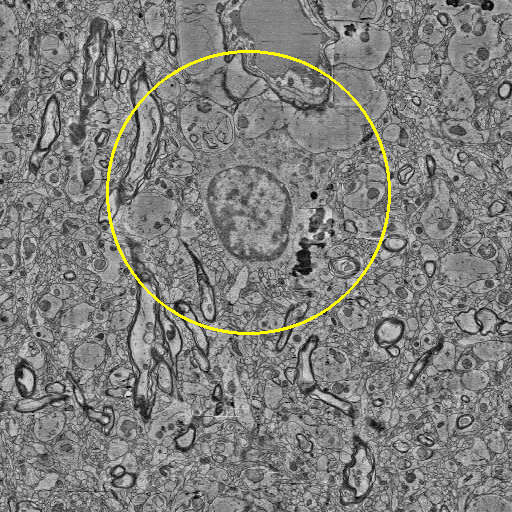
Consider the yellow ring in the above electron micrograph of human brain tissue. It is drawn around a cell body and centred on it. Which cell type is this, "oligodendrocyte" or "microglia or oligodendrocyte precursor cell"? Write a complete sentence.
The cell in question is an oligodendrocyte.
